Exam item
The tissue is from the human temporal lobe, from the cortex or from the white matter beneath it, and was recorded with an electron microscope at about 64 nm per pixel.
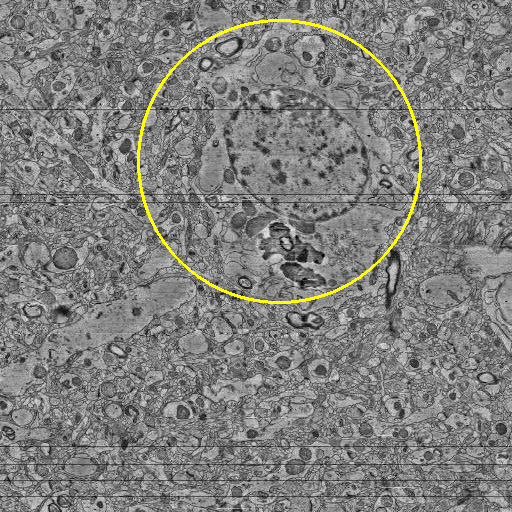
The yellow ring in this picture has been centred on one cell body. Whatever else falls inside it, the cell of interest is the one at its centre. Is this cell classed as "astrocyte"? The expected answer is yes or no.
yes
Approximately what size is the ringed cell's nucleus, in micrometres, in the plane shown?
The ringed cell's nucleus is about 10 micrometres long and 8 micrometres wide in this plane.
